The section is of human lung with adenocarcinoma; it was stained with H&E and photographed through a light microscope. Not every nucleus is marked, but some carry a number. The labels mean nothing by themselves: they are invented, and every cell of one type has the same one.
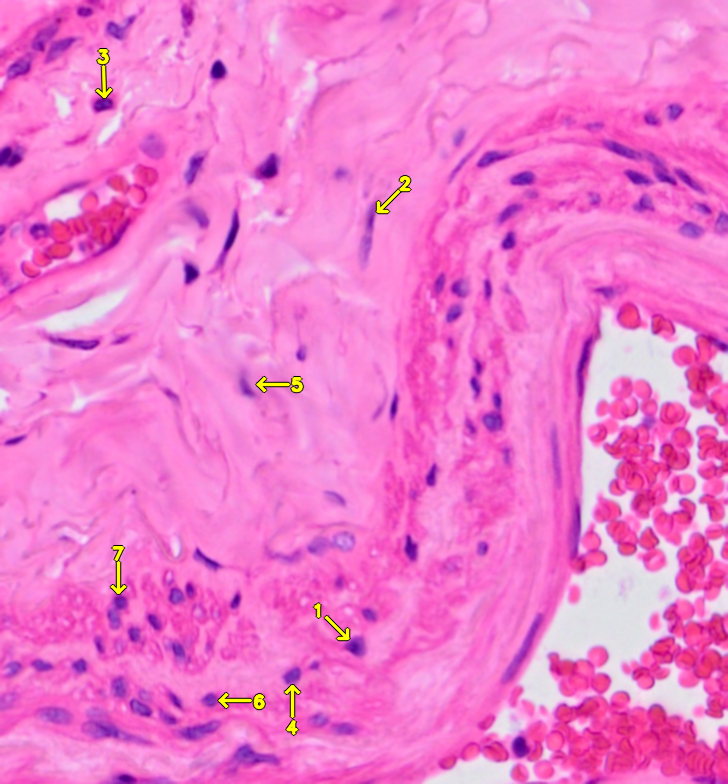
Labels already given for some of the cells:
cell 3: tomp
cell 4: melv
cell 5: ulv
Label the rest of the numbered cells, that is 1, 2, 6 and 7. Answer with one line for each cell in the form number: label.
1: melv
2: ulv
6: melv
7: melv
